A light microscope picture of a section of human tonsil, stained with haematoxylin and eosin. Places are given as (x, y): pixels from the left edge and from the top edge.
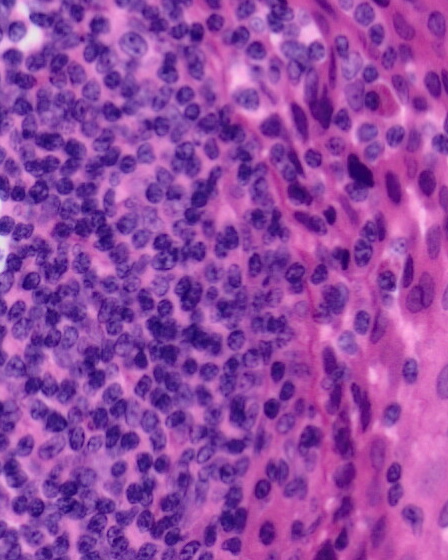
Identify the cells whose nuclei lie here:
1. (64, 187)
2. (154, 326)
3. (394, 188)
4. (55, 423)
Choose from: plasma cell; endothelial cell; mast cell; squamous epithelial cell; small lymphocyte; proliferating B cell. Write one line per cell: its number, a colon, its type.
1: small lymphocyte
2: small lymphocyte
3: squamous epithelial cell
4: small lymphocyte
